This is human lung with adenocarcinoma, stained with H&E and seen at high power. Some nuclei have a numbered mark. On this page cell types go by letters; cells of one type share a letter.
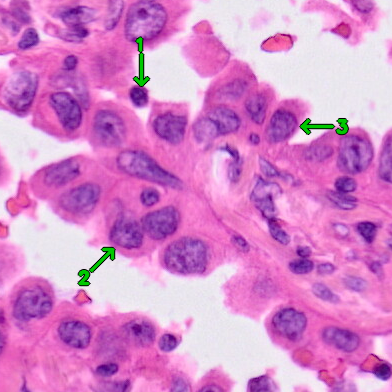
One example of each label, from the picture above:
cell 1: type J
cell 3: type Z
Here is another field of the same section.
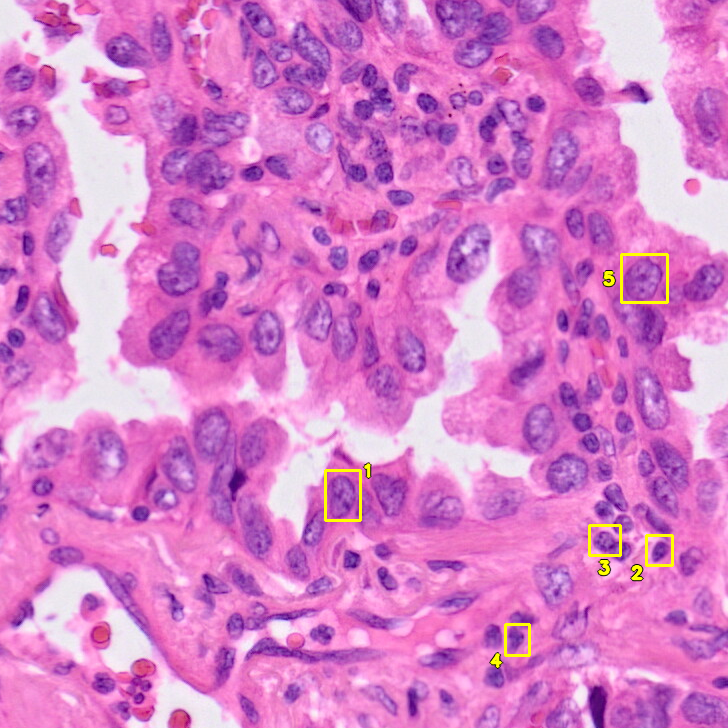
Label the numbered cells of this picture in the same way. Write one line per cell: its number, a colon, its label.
1: type Z
2: type J
3: type J
4: type J
5: type Z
